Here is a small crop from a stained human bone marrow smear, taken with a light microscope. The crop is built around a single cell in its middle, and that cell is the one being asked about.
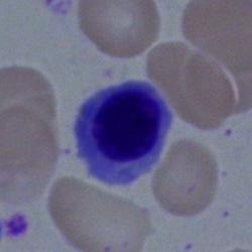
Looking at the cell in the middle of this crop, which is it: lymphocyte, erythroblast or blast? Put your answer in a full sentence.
Occupying the centre of the crop is an erythroblast.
